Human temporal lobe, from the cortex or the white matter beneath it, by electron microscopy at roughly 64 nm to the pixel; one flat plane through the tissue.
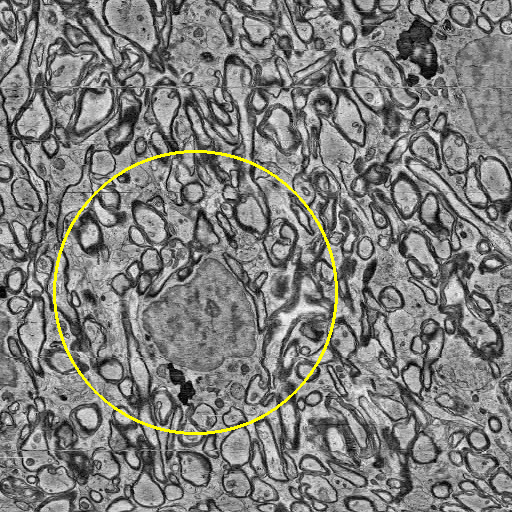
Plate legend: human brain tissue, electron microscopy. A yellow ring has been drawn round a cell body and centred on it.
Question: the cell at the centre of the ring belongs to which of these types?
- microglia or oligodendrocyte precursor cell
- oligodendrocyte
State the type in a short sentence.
The cell in the middle of the ring is an oligodendrocyte.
